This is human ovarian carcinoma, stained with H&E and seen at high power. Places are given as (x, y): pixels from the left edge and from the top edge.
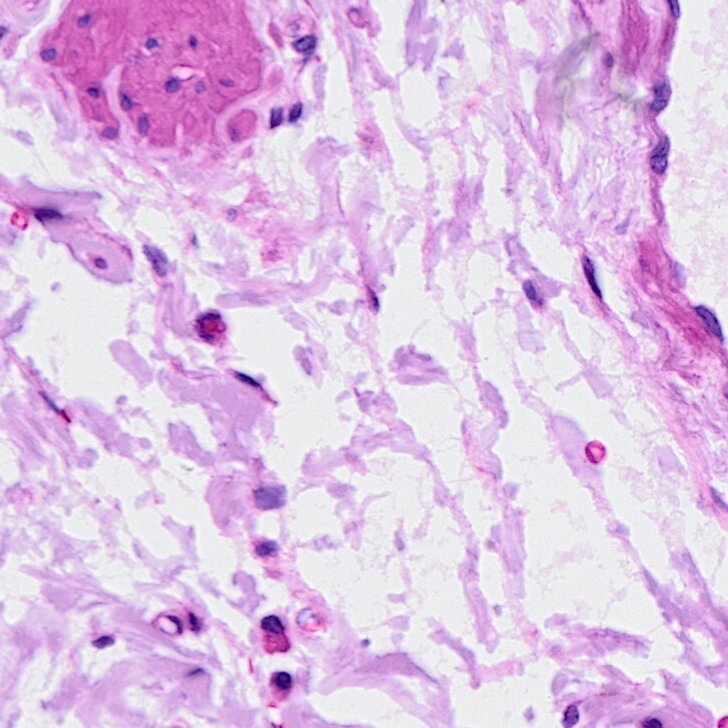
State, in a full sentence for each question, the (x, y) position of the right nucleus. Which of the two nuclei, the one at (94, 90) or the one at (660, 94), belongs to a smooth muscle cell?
Belonging to a smooth muscle cell is the nucleus at (94, 90).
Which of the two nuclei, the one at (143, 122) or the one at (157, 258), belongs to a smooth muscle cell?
The nucleus at (143, 122) is the one that belongs to a smooth muscle cell.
